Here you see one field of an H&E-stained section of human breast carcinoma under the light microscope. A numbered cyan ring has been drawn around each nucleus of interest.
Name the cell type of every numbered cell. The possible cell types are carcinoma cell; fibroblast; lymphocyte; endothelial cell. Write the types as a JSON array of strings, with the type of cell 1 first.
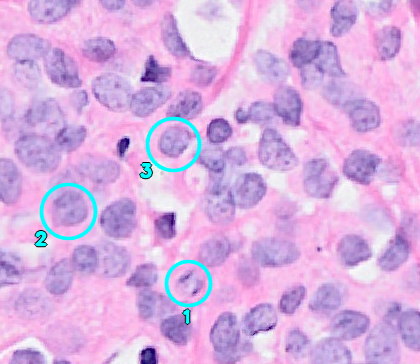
["endothelial cell", "carcinoma cell", "carcinoma cell"]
